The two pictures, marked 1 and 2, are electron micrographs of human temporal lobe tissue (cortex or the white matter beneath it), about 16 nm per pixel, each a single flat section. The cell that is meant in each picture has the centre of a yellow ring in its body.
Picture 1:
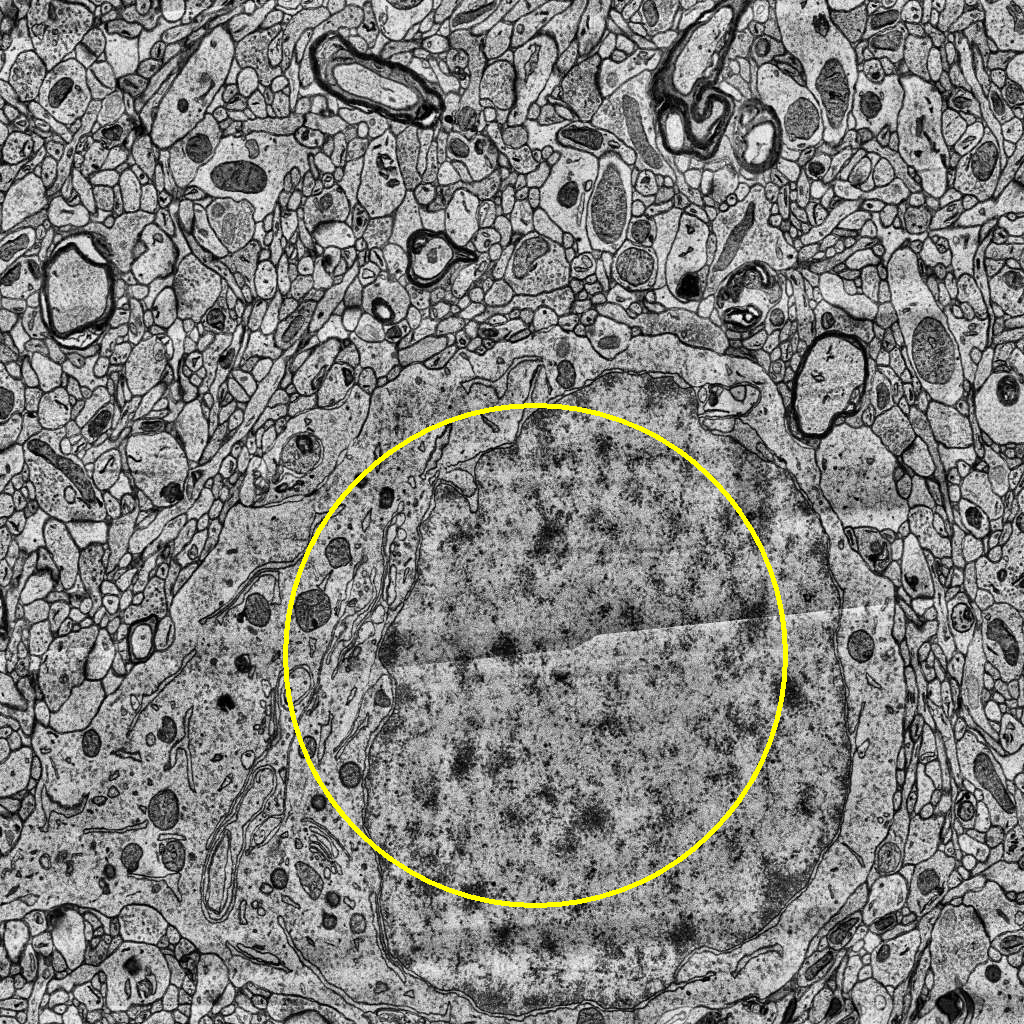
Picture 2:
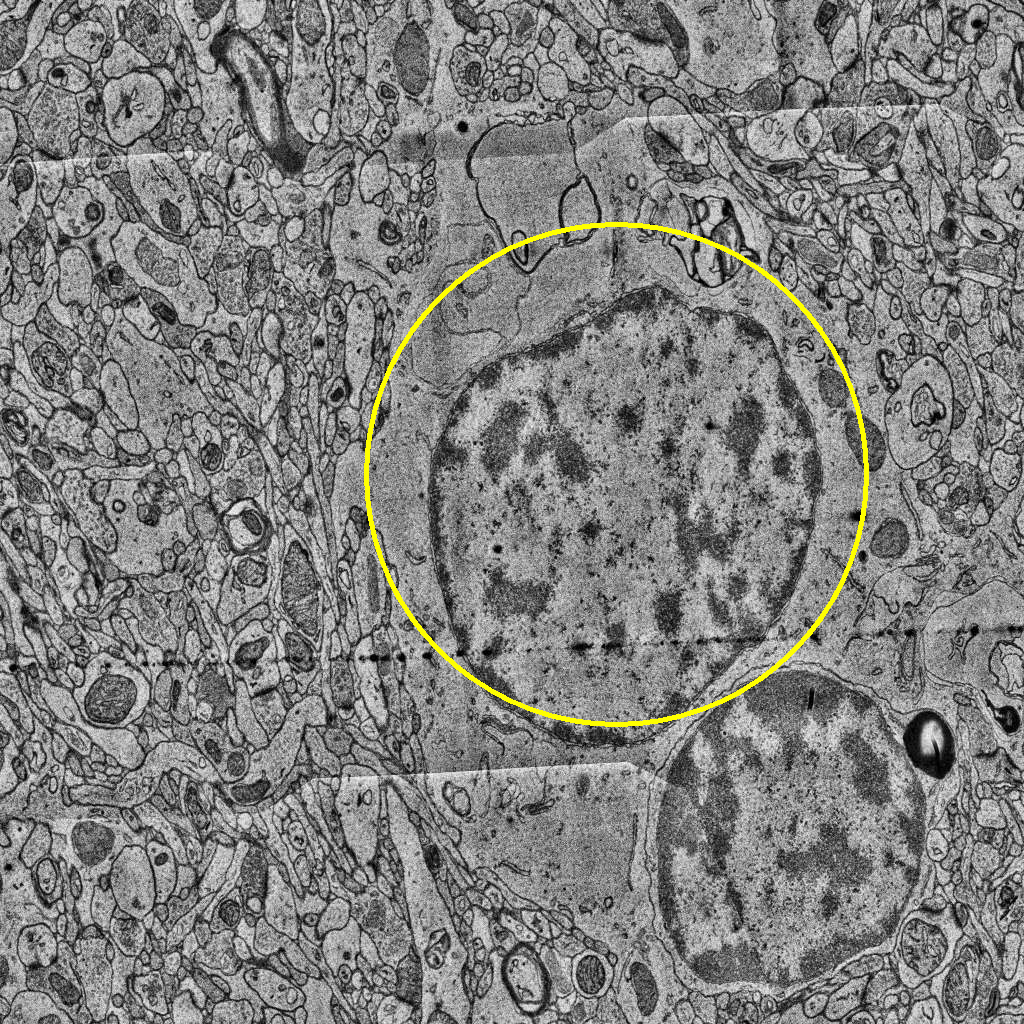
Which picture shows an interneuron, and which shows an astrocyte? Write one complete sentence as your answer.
It is picture 1 that shows an interneuron, and picture 2 that shows an astrocyte.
